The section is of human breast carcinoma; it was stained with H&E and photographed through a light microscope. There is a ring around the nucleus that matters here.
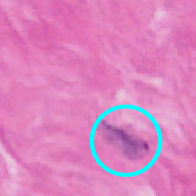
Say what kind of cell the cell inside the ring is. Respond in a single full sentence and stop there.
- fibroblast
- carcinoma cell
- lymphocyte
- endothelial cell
By cell type, the cell inside the ring is a fibroblast.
